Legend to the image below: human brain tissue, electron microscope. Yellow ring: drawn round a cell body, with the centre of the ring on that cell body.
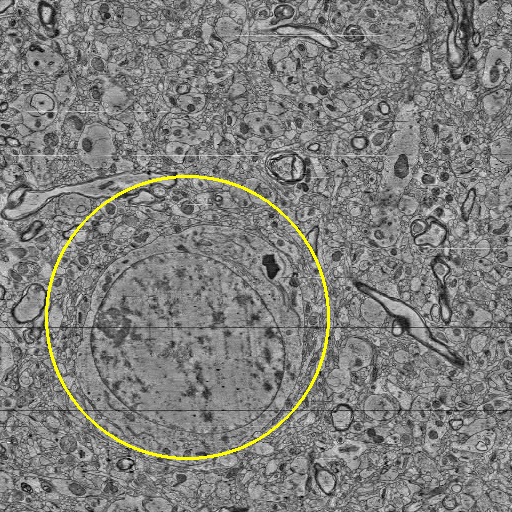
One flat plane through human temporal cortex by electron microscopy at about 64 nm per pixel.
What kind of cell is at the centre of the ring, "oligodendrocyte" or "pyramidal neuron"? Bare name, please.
pyramidal neuron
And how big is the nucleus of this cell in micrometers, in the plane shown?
The nucleus is approximately 13 micrometers long by 11 micrometers wide in this plane.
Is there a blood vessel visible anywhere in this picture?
No.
